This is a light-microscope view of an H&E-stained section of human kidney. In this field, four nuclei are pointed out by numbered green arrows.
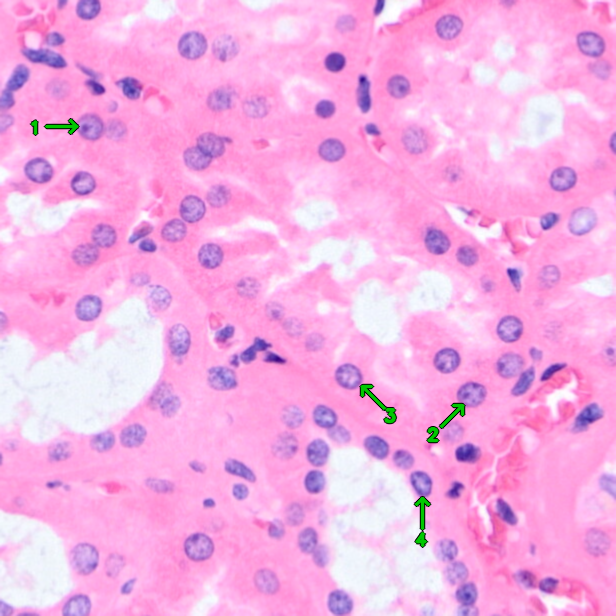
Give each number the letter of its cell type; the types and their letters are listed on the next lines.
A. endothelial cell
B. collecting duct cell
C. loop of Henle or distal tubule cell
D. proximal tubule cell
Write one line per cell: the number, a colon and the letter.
1: D
2: D
3: D
4: C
